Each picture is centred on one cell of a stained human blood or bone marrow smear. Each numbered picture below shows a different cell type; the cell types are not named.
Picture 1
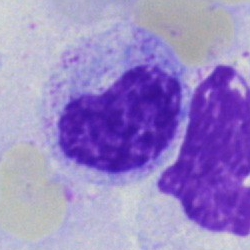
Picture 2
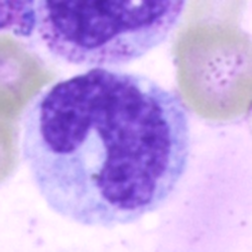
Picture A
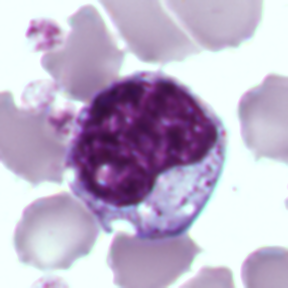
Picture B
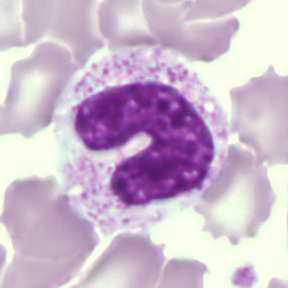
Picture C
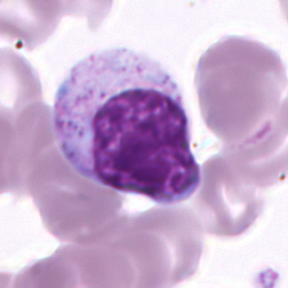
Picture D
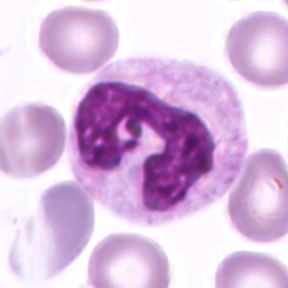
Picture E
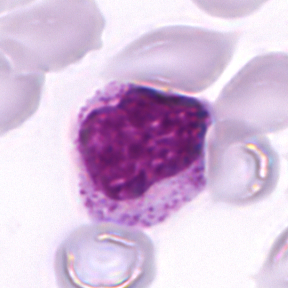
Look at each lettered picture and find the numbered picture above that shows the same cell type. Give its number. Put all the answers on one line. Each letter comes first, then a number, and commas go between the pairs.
A 1, B 2, C 1, D 2, E 2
